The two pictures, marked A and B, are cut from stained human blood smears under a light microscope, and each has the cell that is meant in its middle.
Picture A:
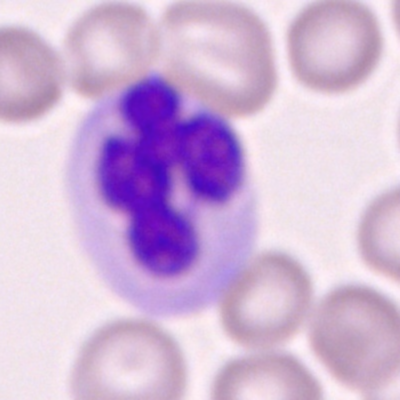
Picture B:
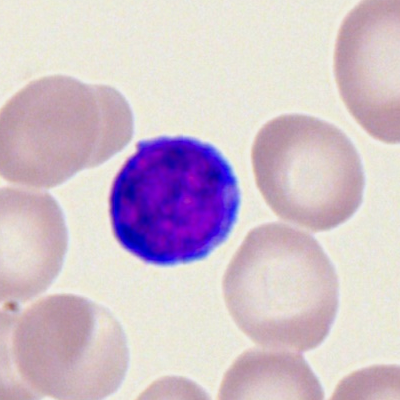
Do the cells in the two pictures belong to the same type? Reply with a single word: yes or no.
no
